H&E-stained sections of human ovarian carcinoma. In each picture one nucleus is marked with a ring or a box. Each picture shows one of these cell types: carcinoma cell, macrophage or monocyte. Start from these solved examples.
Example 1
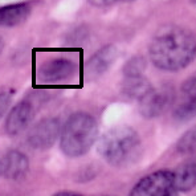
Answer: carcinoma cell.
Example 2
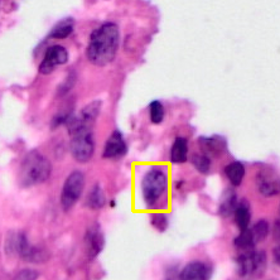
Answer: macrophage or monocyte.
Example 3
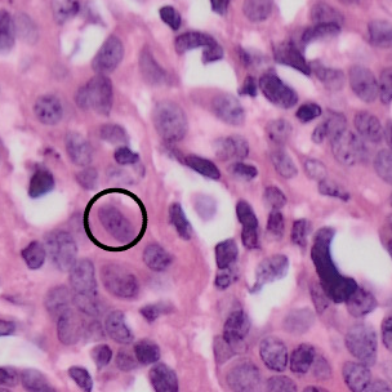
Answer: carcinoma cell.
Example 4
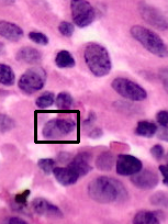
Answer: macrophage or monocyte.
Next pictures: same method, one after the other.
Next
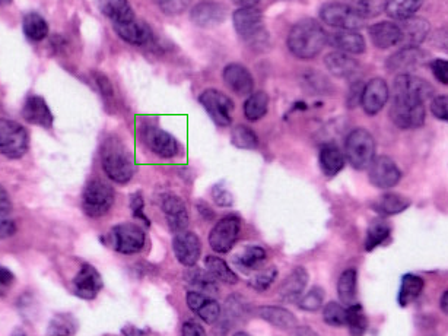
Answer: carcinoma cell.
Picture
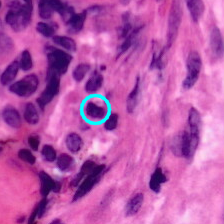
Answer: macrophage or monocyte.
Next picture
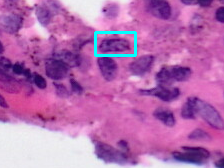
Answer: macrophage or monocyte.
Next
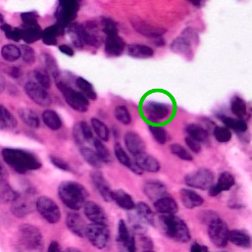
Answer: carcinoma cell.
